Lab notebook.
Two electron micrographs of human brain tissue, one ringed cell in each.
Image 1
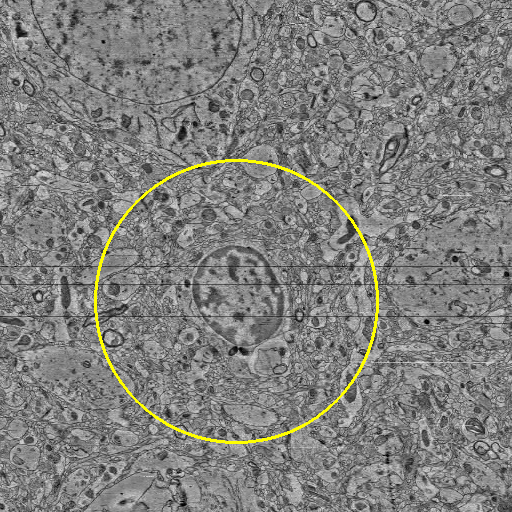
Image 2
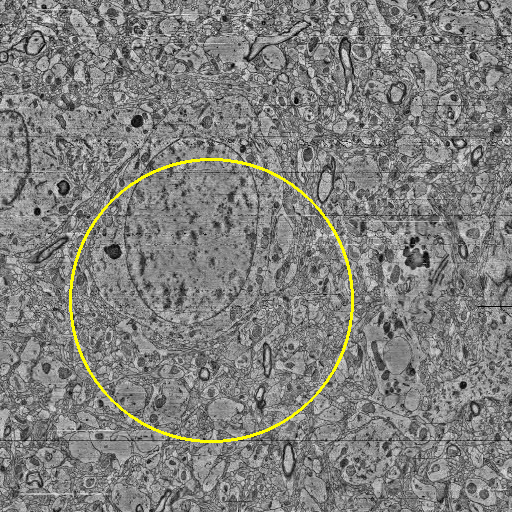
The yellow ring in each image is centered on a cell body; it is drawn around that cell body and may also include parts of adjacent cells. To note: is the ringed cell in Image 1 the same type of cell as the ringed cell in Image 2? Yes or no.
no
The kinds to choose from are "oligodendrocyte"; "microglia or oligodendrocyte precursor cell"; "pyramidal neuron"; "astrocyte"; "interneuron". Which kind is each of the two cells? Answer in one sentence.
Of the two, the first cell is a microglial cell or oligodendrocyte precursor cell and the second cell is a pyramidal neuron.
